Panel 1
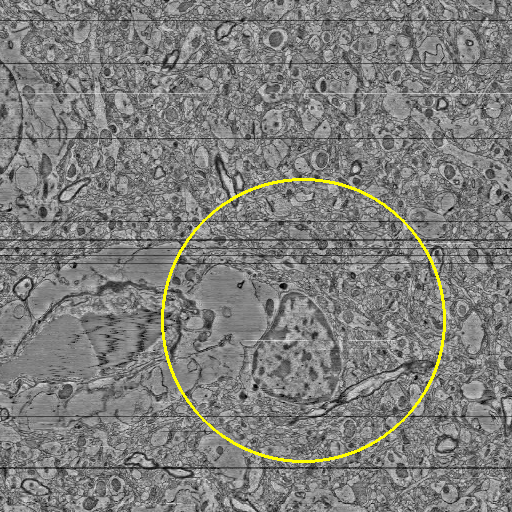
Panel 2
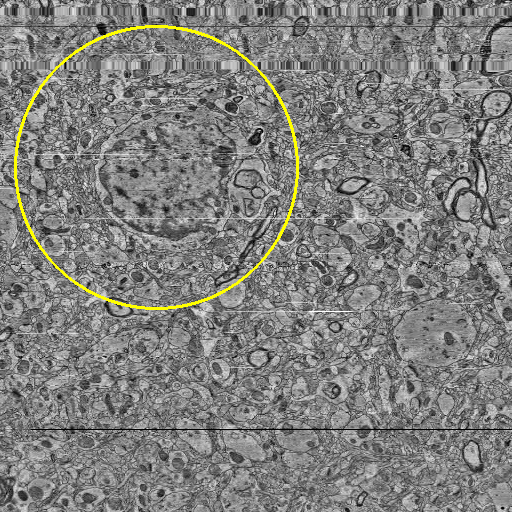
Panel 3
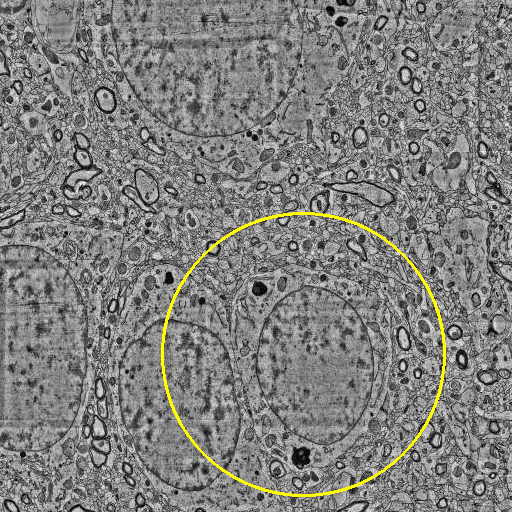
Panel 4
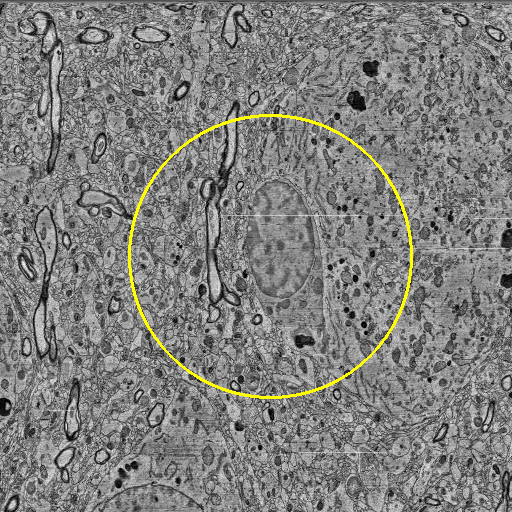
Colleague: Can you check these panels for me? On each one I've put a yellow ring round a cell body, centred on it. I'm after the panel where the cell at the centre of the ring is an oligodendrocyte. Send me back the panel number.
4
